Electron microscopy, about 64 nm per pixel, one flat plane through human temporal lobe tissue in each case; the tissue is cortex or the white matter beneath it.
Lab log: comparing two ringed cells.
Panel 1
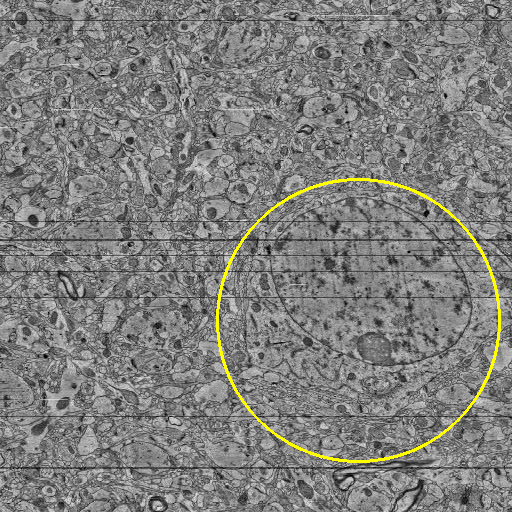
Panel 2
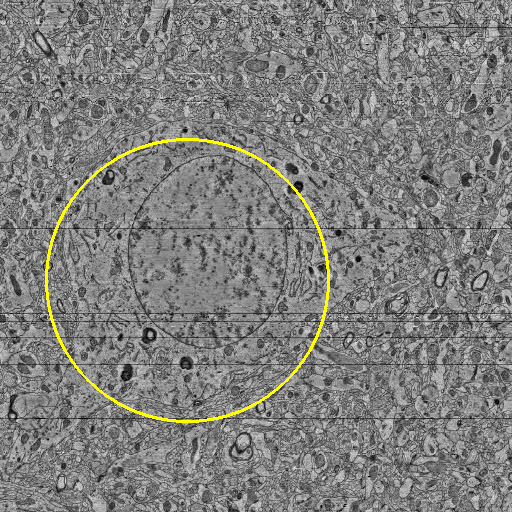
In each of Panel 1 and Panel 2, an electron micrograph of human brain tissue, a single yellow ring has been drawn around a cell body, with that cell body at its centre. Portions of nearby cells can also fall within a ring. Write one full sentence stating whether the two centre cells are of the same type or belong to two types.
The cells at the ring centres in Panel 1 and Panel 2 are of the same type.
